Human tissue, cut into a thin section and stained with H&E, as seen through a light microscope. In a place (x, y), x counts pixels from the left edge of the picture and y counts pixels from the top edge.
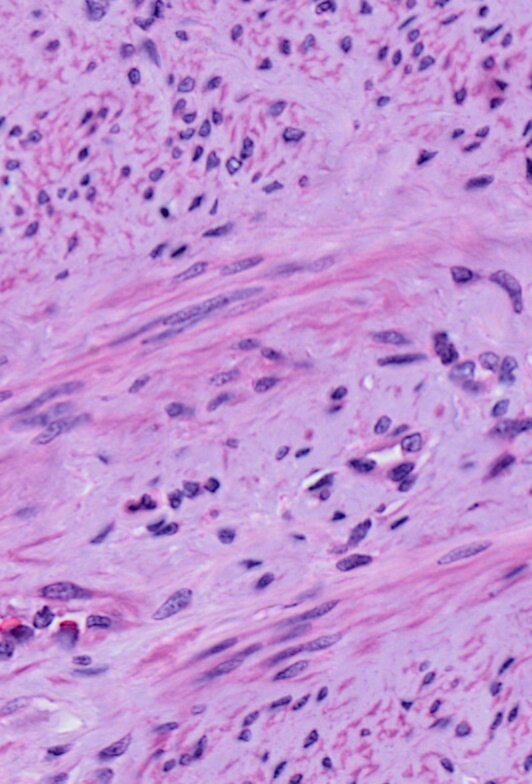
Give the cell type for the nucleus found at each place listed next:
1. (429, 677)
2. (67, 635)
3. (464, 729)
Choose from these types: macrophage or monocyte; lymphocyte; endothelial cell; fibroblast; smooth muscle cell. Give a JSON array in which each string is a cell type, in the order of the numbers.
["smooth muscle cell", "endothelial cell", "smooth muscle cell"]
